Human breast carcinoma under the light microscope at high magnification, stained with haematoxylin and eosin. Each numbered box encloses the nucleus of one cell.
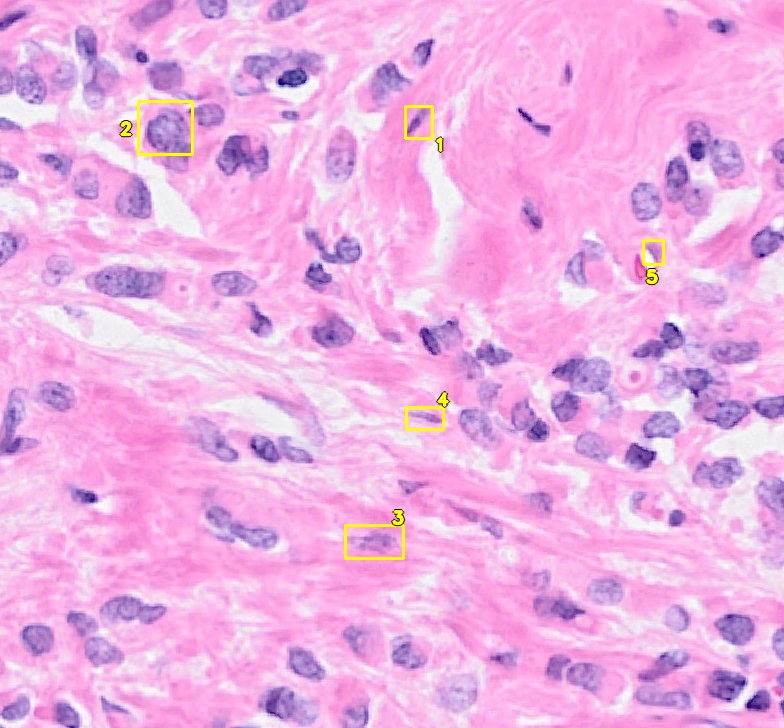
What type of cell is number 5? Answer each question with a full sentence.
That cell with number 5 is an endothelial cell.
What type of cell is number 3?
The cell pointed out by number 3 is a fibroblast.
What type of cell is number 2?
The cell bearing label 2 corresponds to a carcinoma cell.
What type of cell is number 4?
Cell 4, among those numbered, is a fibroblast.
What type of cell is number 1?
The correct label for cell 1 is a fibroblast.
